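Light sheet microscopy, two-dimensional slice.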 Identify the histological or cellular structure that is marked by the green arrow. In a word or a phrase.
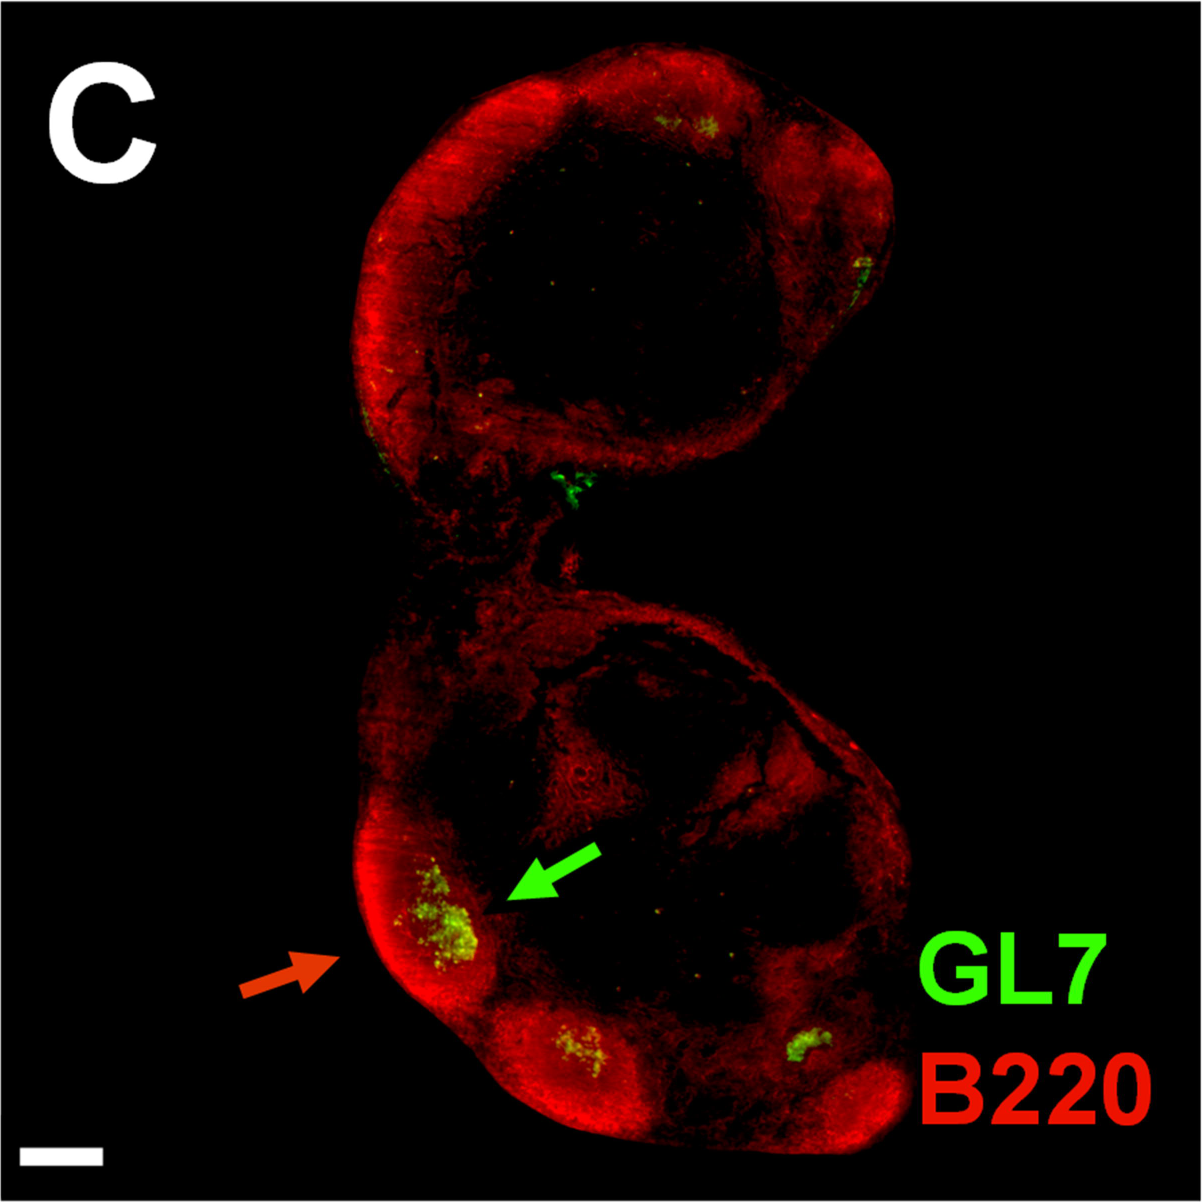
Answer: Germinal centers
